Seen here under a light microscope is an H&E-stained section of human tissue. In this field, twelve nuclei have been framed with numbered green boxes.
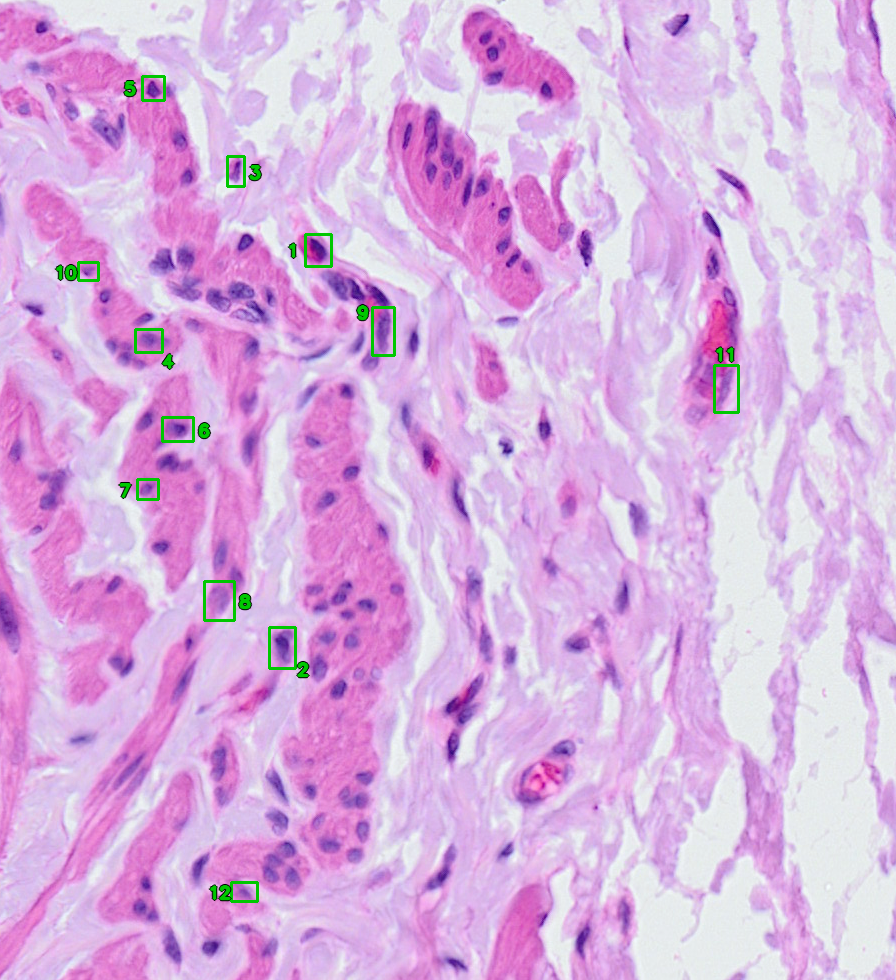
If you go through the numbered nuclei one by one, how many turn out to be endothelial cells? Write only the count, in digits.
4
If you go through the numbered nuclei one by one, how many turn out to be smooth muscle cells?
7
